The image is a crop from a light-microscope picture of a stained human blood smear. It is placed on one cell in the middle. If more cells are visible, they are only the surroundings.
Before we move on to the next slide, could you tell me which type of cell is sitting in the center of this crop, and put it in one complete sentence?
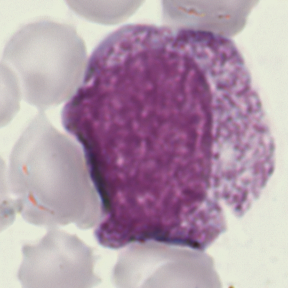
Regarding the central cell, it is a promyelocyte.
